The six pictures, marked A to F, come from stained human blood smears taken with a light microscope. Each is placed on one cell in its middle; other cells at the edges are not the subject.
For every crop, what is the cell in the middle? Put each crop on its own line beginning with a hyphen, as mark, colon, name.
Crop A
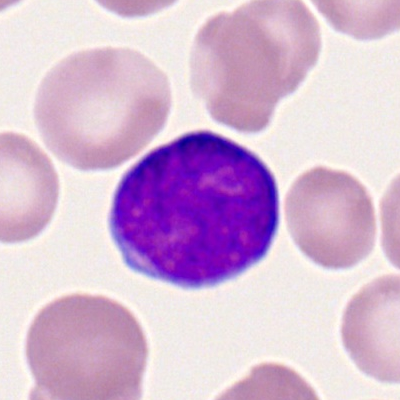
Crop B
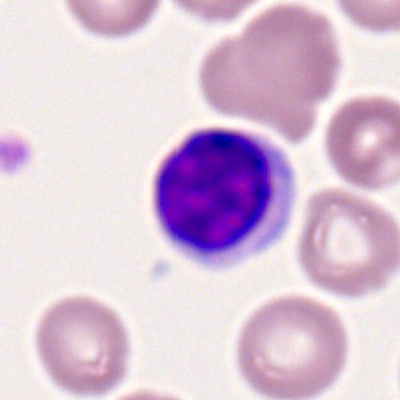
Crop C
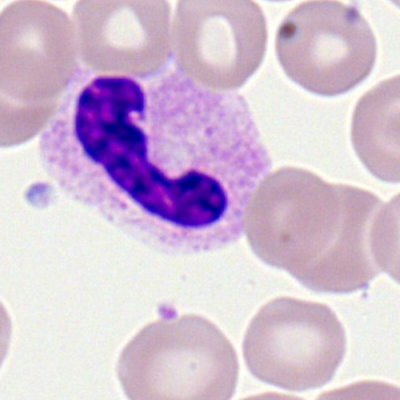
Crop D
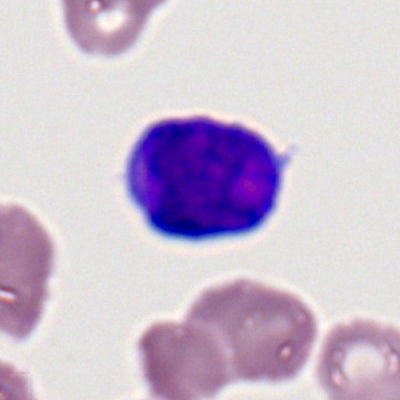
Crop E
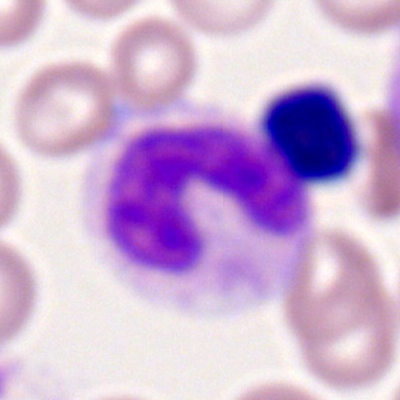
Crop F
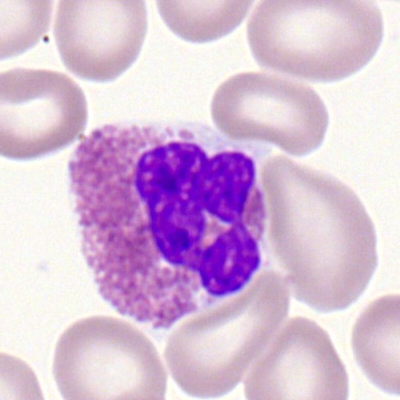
- A: lymphocyte
- B: lymphocyte
- C: band neutrophil
- D: lymphocyte
- E: band neutrophil
- F: eosinophil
